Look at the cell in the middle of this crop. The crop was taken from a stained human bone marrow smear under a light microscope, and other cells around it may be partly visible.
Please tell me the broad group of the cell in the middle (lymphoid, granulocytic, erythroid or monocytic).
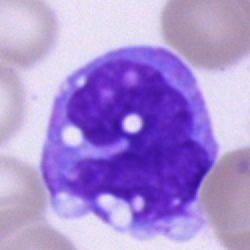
monocytic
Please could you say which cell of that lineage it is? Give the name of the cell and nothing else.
monocyte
